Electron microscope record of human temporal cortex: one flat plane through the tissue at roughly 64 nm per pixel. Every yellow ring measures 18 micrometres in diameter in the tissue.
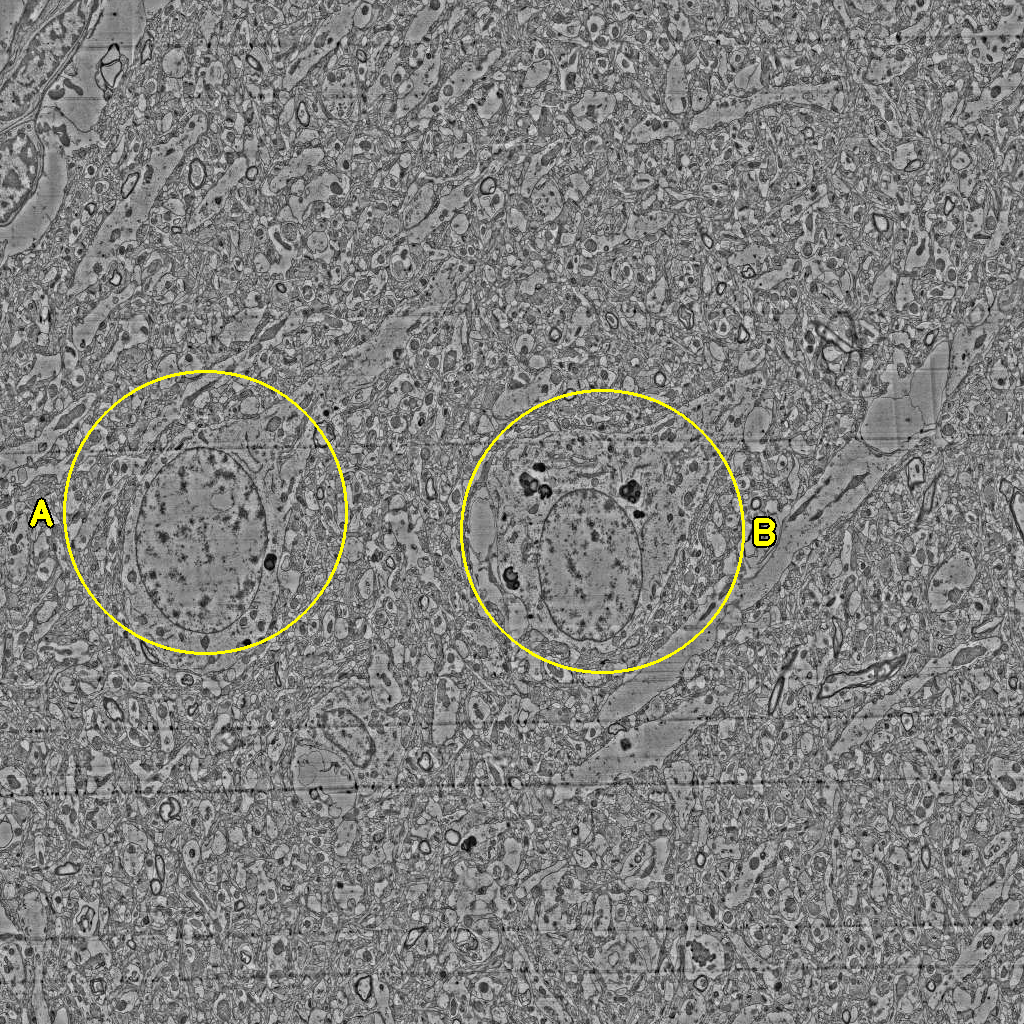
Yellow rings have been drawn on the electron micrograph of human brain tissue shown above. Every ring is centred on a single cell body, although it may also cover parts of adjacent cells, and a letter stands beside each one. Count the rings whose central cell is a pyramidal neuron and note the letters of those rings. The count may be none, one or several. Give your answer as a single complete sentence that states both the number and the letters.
The rings each centred on a pyramidal neuron total two and are lettered A and B.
